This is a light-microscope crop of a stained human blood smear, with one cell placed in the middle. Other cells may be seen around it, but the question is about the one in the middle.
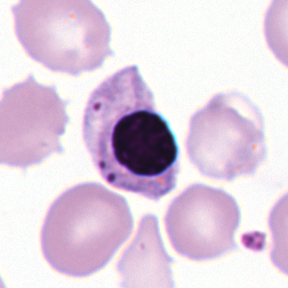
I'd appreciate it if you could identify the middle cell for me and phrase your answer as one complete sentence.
Classified as an erythroblast is the cell in the middle of this crop.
